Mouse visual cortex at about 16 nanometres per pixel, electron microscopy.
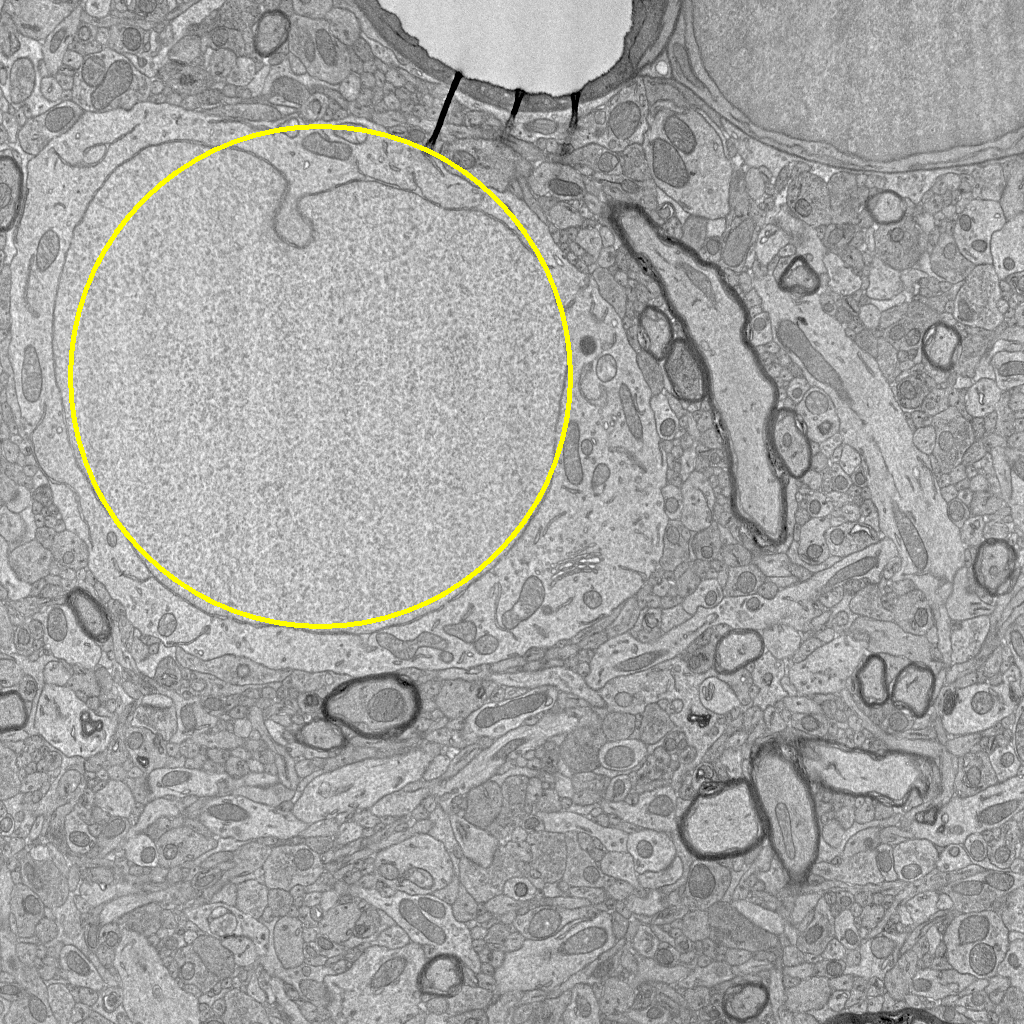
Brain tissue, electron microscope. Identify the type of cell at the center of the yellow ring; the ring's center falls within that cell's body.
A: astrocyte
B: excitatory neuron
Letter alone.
B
